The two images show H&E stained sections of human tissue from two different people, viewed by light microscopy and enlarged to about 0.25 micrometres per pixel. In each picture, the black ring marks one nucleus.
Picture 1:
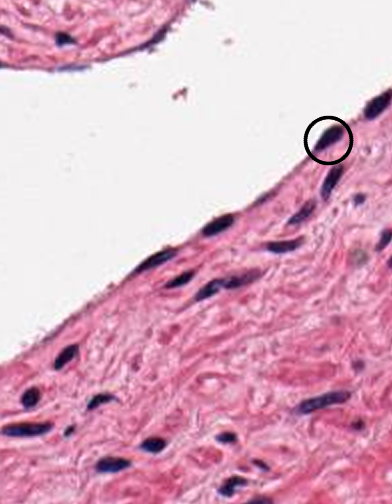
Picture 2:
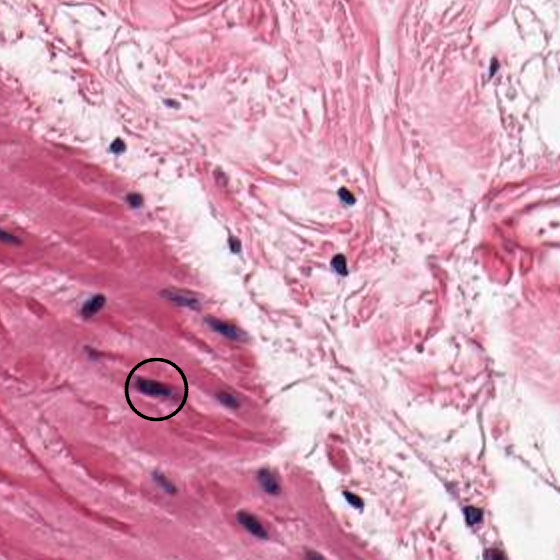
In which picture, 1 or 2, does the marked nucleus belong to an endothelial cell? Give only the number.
1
